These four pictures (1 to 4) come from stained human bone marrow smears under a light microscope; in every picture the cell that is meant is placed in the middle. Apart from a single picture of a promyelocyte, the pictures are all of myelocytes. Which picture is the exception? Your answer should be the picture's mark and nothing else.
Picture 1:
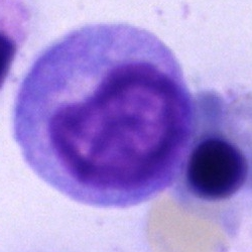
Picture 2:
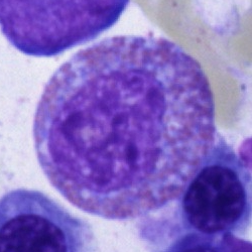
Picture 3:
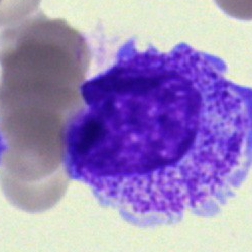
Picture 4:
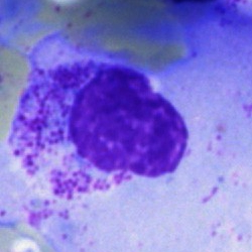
1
